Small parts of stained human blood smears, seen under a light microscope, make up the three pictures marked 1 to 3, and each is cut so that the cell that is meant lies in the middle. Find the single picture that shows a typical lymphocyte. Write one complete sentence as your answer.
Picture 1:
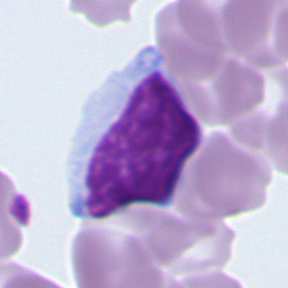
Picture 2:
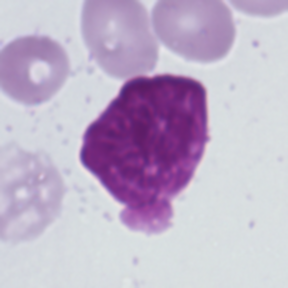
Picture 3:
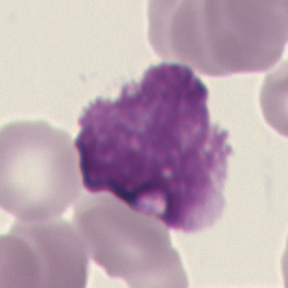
It is picture 1 that shows the typical lymphocyte.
